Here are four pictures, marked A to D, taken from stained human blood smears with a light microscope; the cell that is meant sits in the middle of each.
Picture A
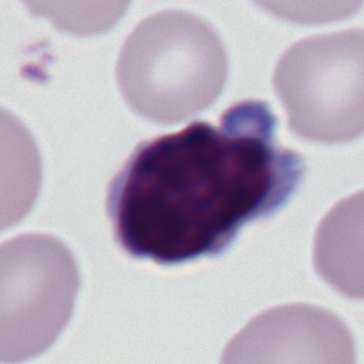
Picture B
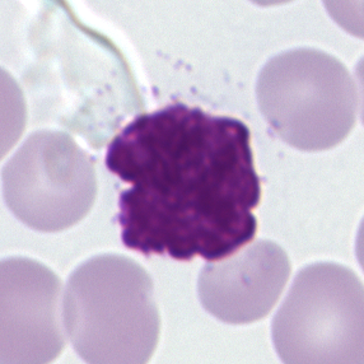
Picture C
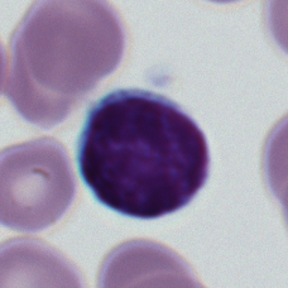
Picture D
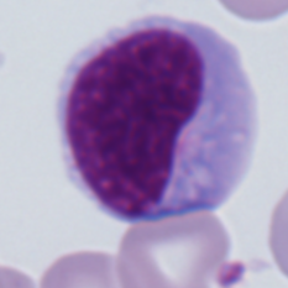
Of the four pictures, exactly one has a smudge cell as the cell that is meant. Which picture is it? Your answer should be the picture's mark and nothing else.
B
